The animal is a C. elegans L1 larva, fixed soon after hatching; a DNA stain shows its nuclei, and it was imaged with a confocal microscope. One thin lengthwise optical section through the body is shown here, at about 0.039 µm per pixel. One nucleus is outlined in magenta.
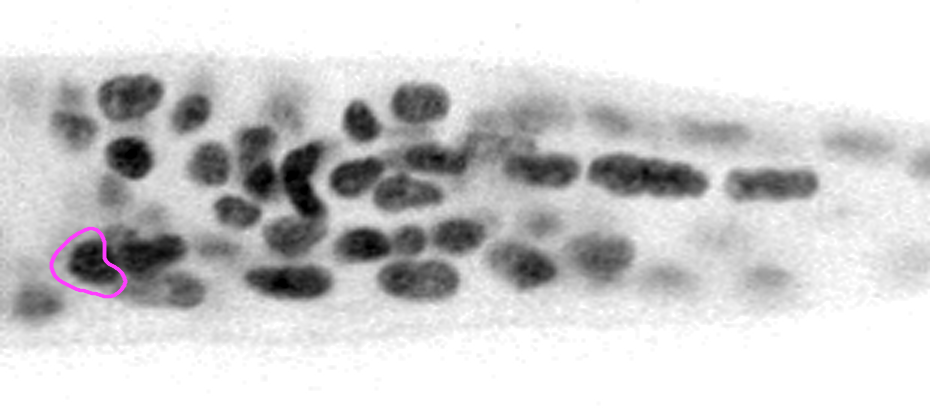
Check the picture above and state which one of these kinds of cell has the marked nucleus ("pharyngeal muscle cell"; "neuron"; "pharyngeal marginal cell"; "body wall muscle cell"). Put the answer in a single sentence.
The nucleus comes from a neuron.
